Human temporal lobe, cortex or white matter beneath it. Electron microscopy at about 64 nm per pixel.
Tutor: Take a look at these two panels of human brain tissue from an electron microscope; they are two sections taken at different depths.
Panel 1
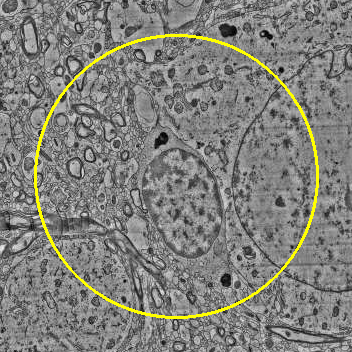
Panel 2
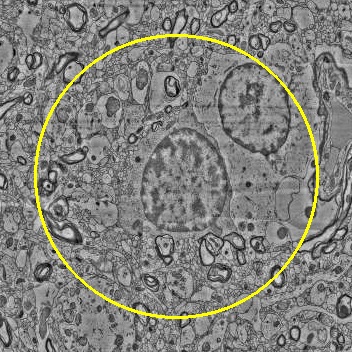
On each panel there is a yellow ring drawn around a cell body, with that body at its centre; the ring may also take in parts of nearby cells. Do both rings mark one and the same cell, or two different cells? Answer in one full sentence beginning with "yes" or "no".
No, the two yellow rings correspond to two separate cells.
